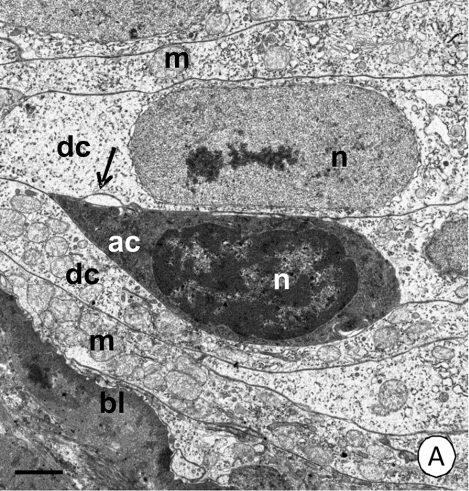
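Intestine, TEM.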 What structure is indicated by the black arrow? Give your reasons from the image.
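The arrow points to a narrow pale gap at the edge of the dark cell. The gap separates the dark cell from the paler neighbouring cell above it. That points to this answer: extracellular spaces.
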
